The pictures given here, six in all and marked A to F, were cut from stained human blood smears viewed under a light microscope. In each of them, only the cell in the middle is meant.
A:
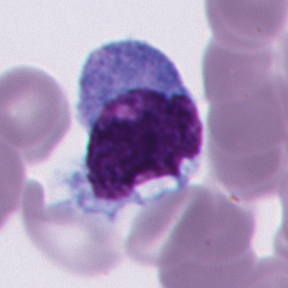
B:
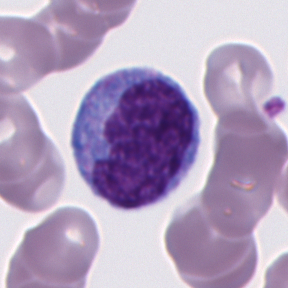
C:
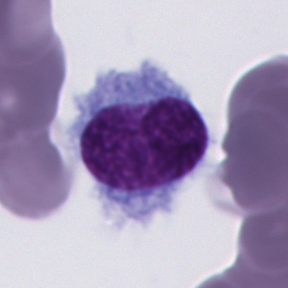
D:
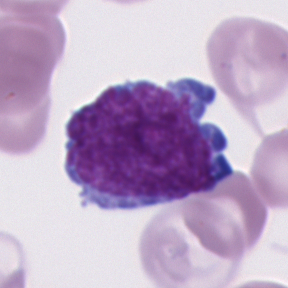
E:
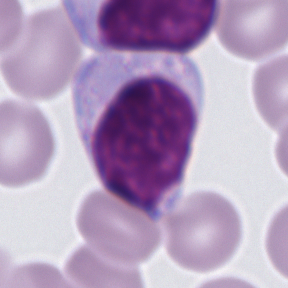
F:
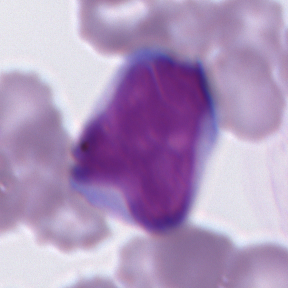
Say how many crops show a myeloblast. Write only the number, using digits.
2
